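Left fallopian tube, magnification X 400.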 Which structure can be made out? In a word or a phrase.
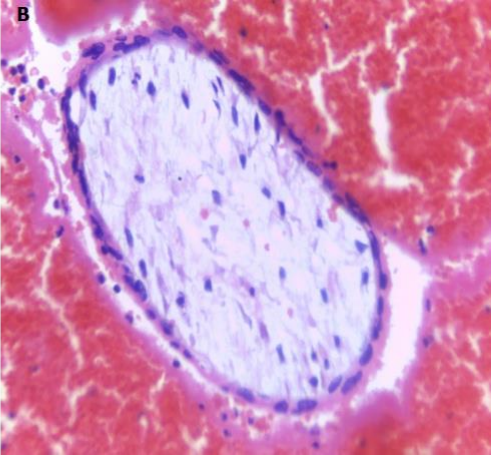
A: Chorionic villus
